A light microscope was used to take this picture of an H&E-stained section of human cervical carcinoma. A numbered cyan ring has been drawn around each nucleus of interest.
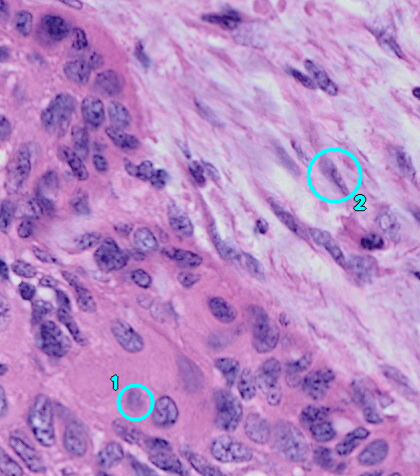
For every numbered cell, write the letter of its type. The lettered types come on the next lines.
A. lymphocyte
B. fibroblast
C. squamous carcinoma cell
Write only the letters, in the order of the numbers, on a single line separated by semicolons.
C; B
